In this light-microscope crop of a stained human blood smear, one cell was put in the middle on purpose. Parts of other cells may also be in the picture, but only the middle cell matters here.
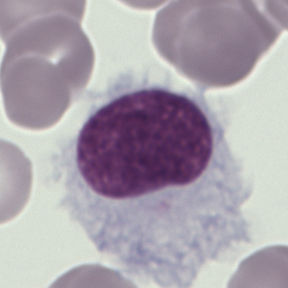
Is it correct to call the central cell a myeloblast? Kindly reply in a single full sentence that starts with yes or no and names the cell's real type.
No, what lies at the heart of the crop is a hairy cell, not a myeloblast.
